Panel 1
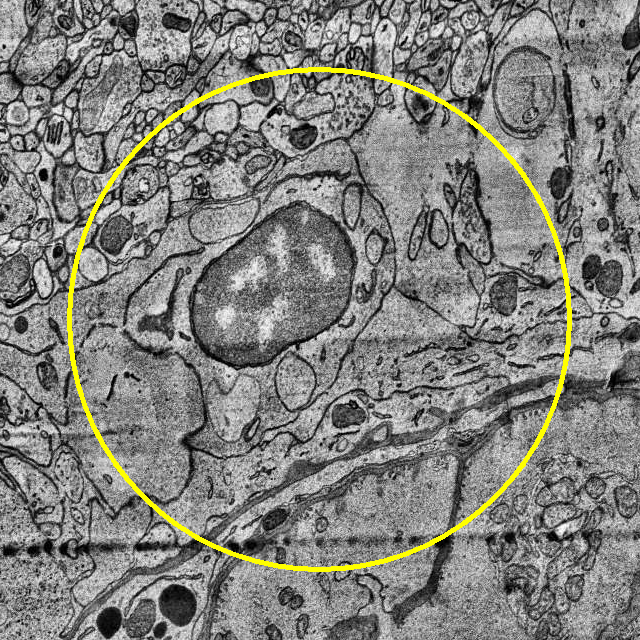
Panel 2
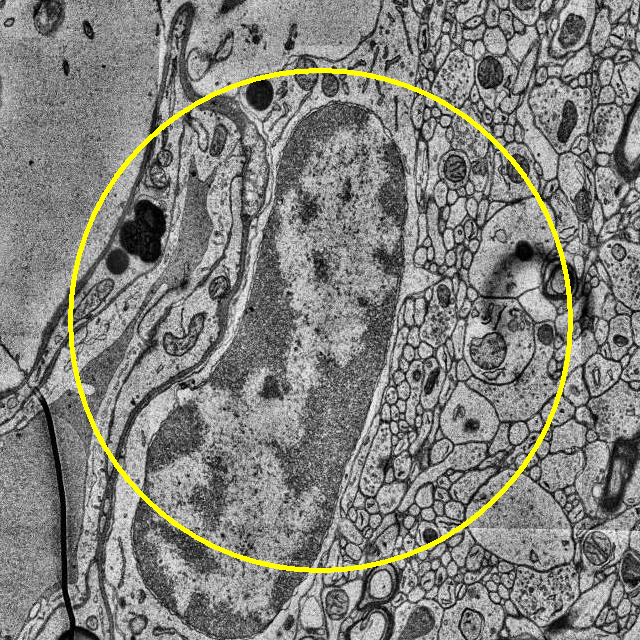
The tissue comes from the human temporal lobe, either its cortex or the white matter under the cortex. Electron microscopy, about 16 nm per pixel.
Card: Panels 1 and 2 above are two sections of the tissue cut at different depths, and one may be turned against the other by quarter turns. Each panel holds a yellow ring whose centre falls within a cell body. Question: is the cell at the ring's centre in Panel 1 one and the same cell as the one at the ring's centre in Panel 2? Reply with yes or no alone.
no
